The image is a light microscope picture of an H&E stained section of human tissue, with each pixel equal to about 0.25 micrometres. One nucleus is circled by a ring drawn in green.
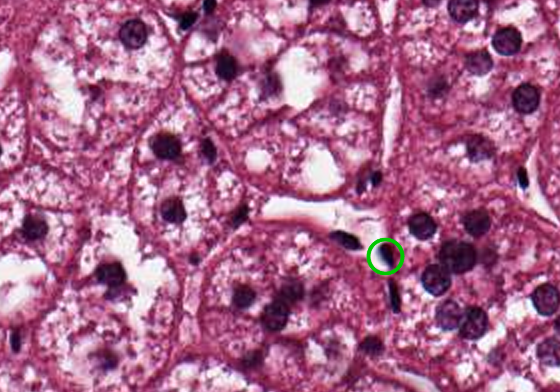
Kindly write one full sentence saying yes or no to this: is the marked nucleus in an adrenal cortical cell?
No, the marked nucleus is the nucleus of a supporting cell rather than of an adrenal cortical cell.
